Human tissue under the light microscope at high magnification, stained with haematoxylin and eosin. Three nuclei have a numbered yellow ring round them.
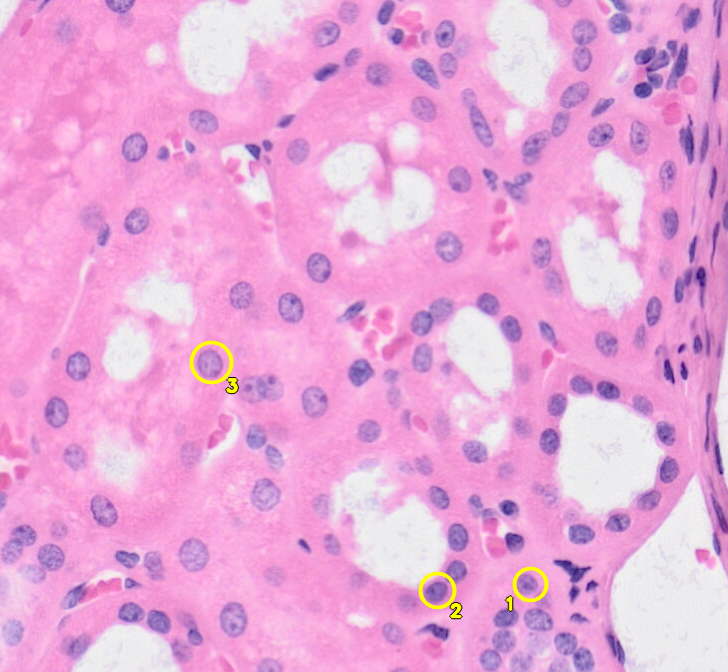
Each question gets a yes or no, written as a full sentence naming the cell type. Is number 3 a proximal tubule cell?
Yes, in this section the cell with number 3 is a proximal tubule cell.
